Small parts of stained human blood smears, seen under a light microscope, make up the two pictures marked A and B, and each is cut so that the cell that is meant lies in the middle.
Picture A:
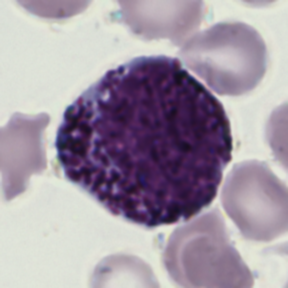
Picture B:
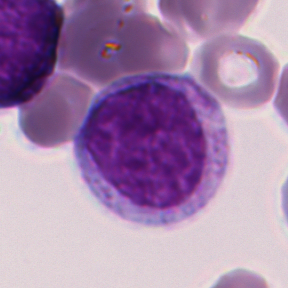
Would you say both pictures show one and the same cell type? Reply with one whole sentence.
No. Picture A shows a basophil, but picture B shows a myelocyte.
